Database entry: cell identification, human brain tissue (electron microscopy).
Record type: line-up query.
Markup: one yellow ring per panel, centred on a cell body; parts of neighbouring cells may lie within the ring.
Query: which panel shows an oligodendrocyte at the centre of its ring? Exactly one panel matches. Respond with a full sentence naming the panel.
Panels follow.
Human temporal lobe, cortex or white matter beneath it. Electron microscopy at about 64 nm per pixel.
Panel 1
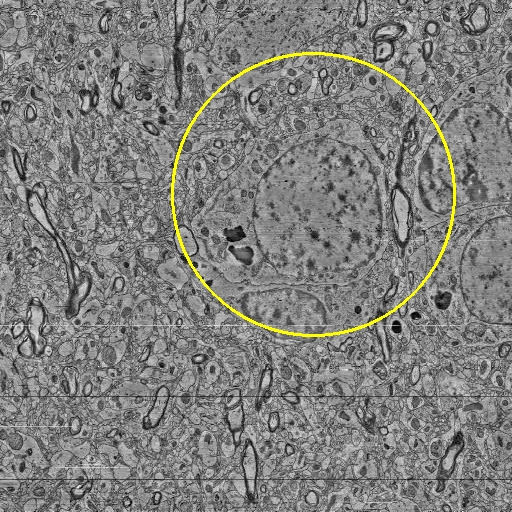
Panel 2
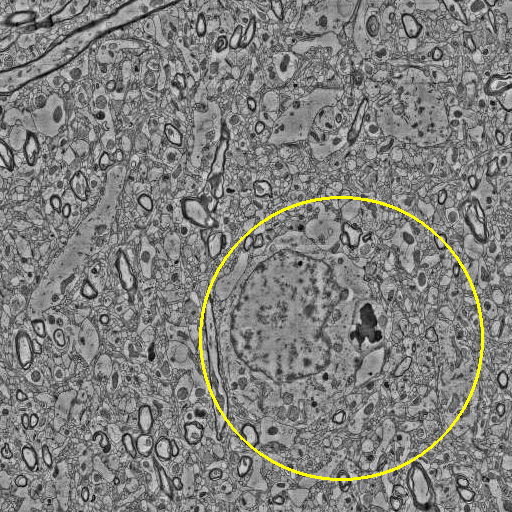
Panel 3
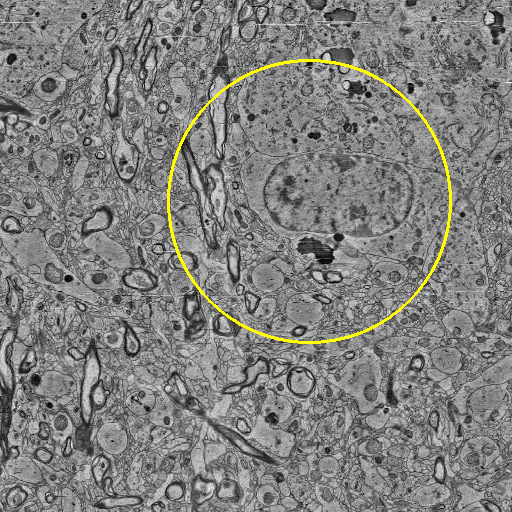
Panel 2 shows it at the centre of the ring.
